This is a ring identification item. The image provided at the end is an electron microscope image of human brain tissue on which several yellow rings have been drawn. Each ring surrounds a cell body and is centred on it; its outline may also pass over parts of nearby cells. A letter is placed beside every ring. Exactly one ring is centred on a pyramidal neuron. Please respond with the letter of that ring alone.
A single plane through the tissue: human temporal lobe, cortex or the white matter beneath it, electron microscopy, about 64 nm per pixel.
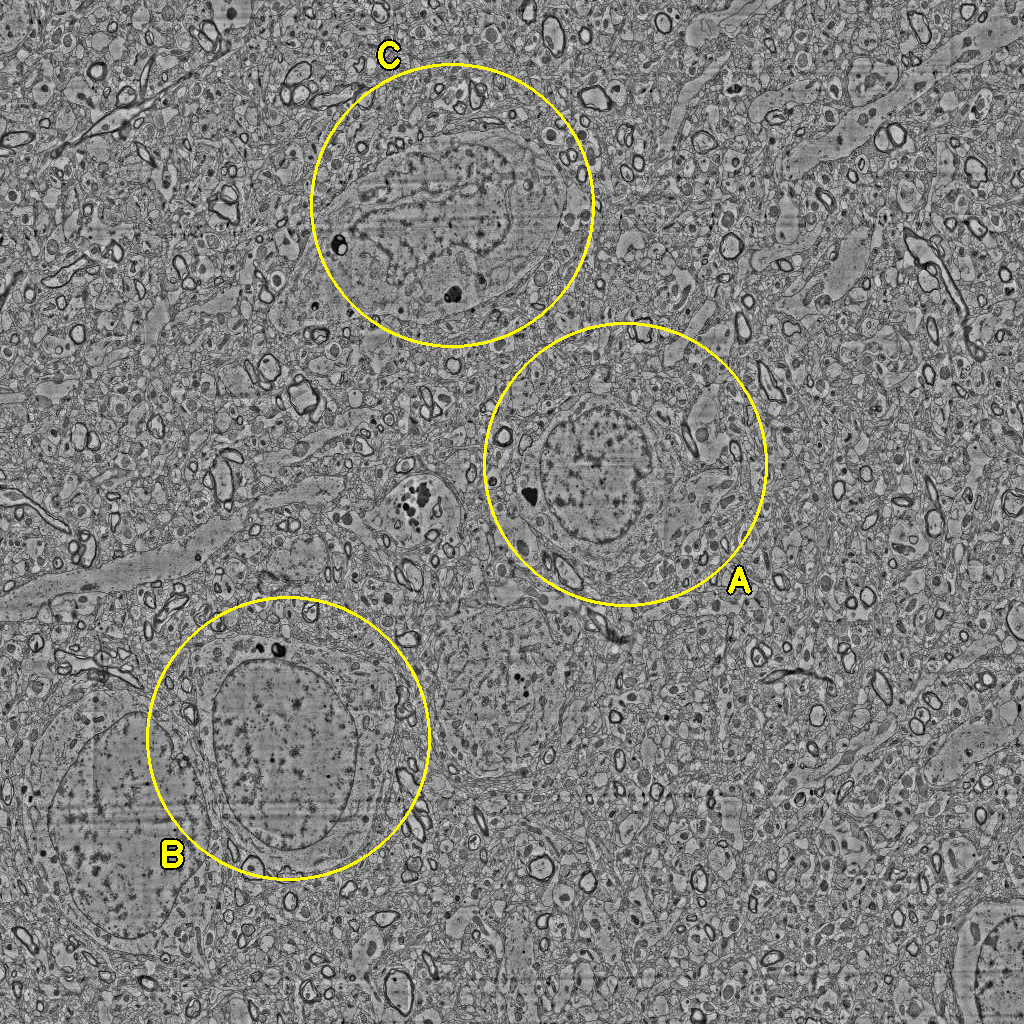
B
